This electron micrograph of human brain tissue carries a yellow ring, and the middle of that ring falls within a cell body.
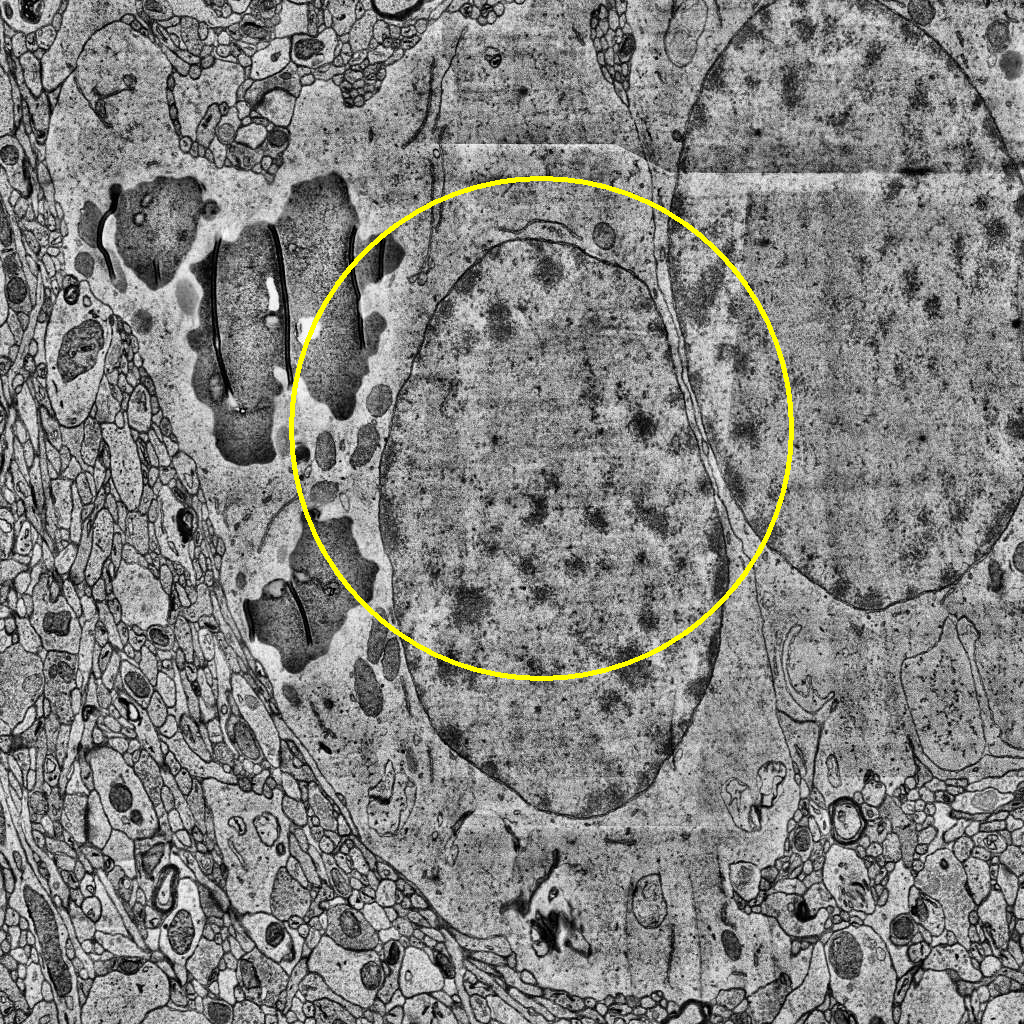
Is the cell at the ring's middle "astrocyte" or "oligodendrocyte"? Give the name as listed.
astrocyte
